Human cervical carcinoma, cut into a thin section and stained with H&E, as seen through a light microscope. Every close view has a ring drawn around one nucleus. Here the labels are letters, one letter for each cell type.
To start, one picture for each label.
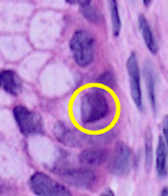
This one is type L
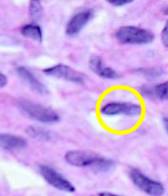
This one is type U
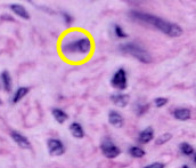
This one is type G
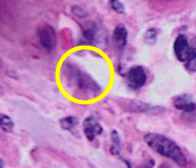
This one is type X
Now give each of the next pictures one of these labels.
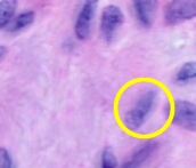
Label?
type U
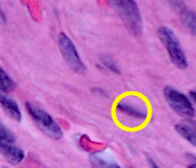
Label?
type U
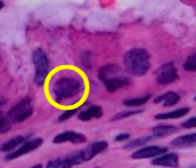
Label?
type L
